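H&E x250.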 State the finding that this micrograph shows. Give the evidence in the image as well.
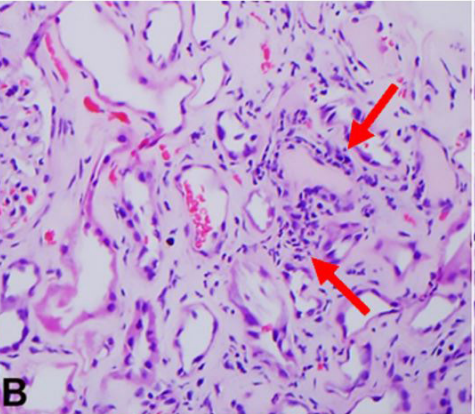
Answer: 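Many tubules are dilated with thin, flat epithelial linings. Loose, pale interstitium separates the tubules. On this evidence: simplification of tubules lined by flattened cells.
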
